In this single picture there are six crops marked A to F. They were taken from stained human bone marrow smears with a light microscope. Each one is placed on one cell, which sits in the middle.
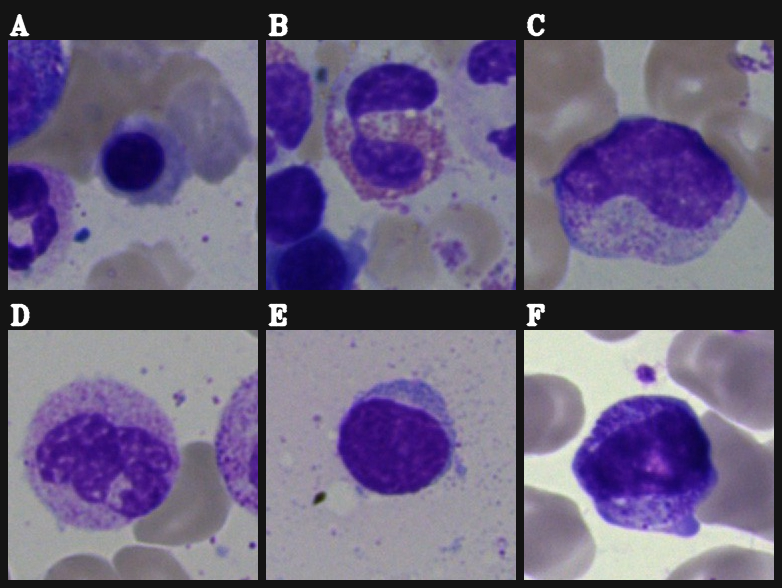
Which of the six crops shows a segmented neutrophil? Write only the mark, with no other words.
D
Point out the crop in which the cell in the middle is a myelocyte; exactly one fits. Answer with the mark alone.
F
